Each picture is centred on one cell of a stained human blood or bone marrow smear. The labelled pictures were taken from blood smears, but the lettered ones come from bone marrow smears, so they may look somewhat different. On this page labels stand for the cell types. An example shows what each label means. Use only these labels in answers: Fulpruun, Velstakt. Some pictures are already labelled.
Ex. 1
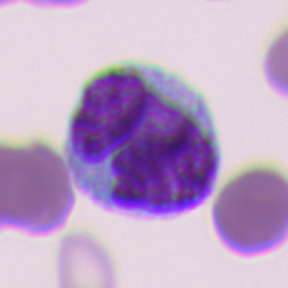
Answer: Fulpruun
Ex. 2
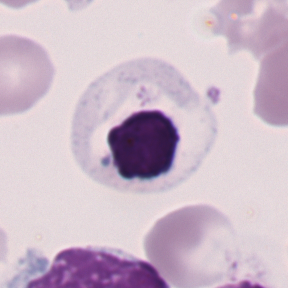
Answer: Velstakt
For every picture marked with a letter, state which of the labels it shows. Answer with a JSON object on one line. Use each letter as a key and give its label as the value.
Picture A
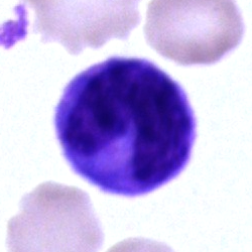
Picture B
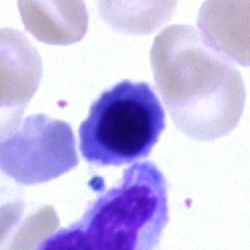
{"A": "Fulpruun", "B": "Velstakt"}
